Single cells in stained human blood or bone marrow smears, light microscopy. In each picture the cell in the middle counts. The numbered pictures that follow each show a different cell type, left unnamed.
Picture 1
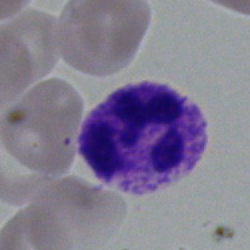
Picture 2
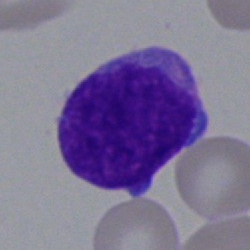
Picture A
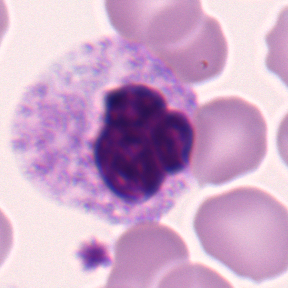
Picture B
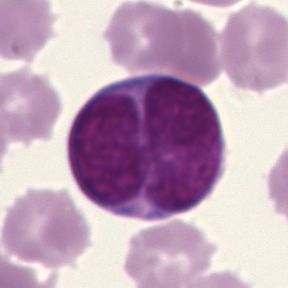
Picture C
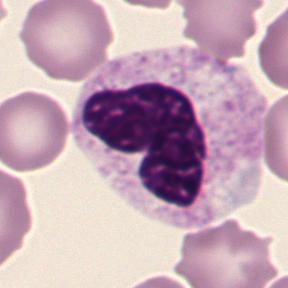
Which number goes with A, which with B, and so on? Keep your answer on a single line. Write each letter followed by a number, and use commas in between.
A 1, B 2, C 1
